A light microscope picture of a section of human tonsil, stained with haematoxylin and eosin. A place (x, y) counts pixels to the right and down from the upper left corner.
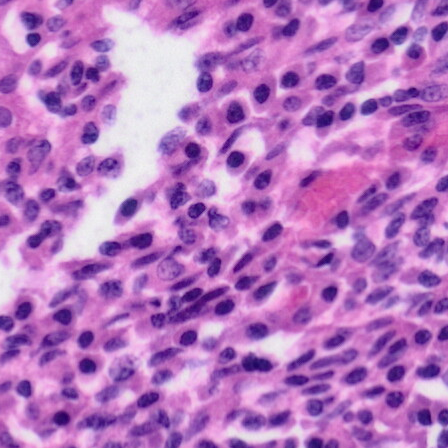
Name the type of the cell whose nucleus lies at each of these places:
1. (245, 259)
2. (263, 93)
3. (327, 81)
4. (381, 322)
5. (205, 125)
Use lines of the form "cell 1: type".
cell 1: squamous epithelial cell
cell 2: plasma cell
cell 3: plasma cell
cell 4: squamous epithelial cell
cell 5: plasma cell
